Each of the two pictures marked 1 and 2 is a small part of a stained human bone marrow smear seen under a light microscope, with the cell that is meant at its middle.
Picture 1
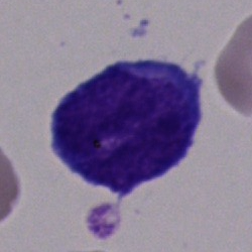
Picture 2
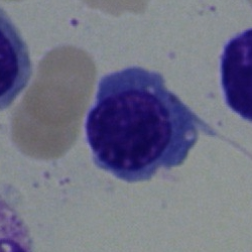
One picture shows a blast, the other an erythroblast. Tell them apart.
1: blast
2: erythroblast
